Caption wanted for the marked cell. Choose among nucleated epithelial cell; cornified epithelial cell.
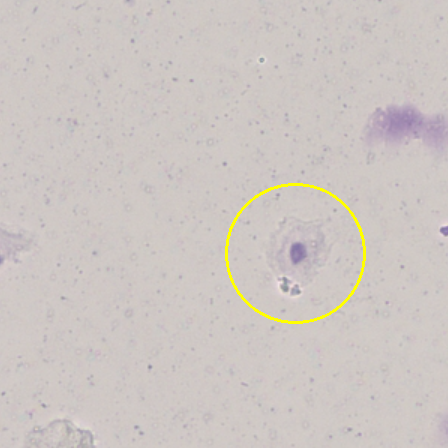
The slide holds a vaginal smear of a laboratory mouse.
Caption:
Ringed in yellow is a nucleated epithelial cell.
